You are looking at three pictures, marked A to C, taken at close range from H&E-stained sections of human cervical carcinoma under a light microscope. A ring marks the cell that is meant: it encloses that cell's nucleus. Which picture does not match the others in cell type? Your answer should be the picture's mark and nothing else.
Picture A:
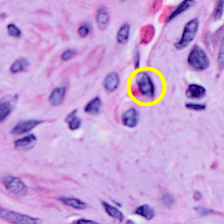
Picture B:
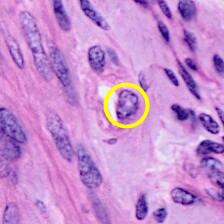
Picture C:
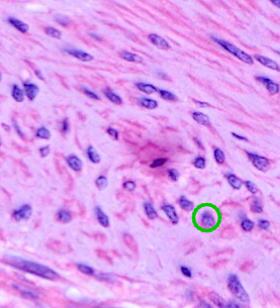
C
